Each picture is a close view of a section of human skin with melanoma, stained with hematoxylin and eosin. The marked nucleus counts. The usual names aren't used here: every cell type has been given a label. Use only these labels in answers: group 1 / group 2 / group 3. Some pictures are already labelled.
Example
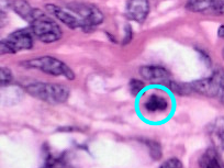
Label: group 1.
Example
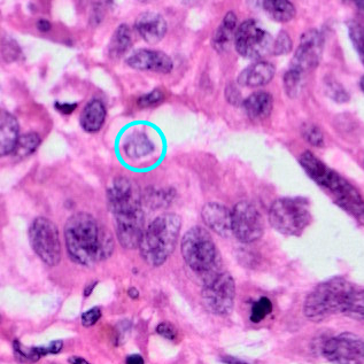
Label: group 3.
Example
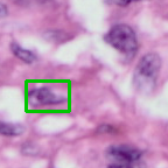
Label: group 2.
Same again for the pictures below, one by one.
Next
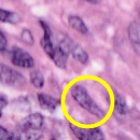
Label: group 2.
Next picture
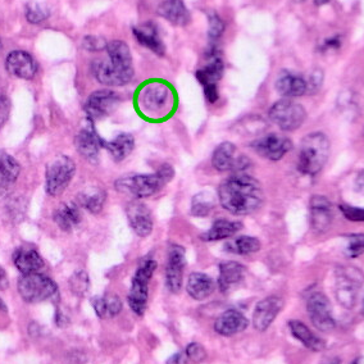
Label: group 2.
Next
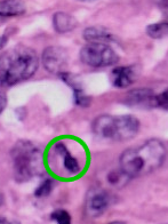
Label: group 1.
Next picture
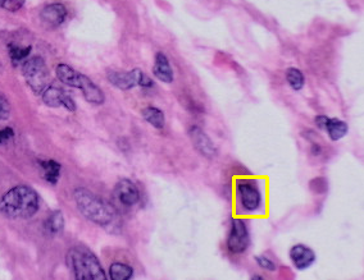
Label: group 3.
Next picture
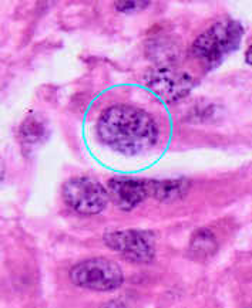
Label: group 2.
